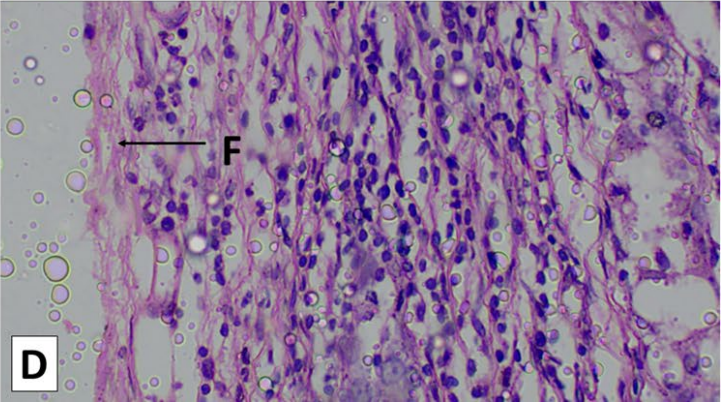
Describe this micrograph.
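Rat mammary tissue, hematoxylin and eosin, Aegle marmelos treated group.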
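This field is dominated by fibrous connective tissue made of wavy pink strands running in parallel. Many small, dark purple, oval to elongated nuclei lie in rows between the strands. Toward one side the fibres become looser and paler, with clear spaces between them. No mucin-filled lumina are present.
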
